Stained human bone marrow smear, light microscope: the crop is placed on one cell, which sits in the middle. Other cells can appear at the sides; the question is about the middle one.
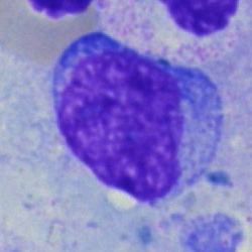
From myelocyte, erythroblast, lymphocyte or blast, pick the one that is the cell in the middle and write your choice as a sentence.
The cell of interest, located centrally, is a blast.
